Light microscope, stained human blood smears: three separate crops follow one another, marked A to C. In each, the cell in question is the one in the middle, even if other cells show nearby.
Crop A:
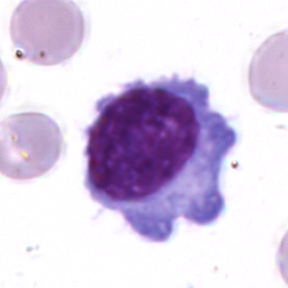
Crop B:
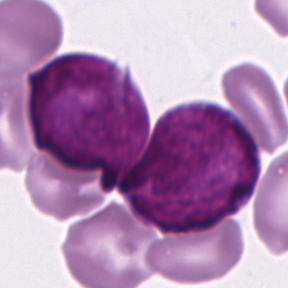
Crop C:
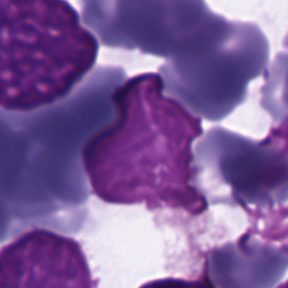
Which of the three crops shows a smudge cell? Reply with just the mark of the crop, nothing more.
C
